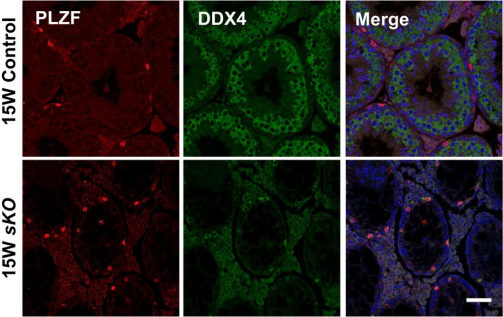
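Cross-sections of testis show seminiferous tubules cut transversely. In the upper row the tubules are large and filled with many stacked layers of green-stained germ cells arranged around a central lumen; a few single red-stained cells lie at the outer edge of the tubules, against the wall. In the lower row the tubules are smaller and hold only a thin layer of cells, with little green staining and mostly blue nuclei; scattered red-stained cells still sit near the tubule walls. The narrow spaces between tubules contain interstitial tissue.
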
